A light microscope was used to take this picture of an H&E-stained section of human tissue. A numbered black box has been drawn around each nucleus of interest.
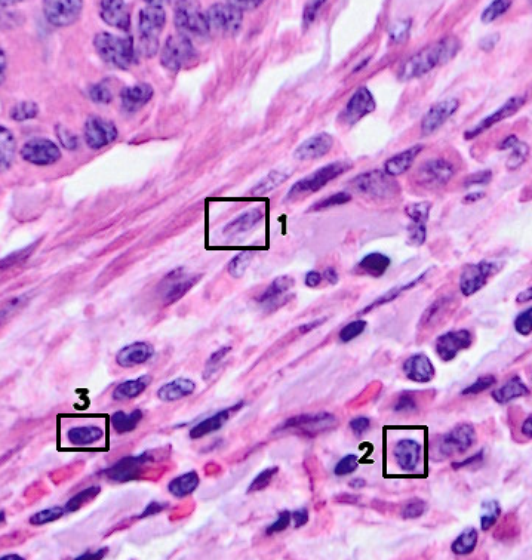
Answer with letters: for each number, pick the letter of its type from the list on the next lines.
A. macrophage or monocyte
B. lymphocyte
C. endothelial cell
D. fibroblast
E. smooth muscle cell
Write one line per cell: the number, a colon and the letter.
1: D
2: B
3: B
